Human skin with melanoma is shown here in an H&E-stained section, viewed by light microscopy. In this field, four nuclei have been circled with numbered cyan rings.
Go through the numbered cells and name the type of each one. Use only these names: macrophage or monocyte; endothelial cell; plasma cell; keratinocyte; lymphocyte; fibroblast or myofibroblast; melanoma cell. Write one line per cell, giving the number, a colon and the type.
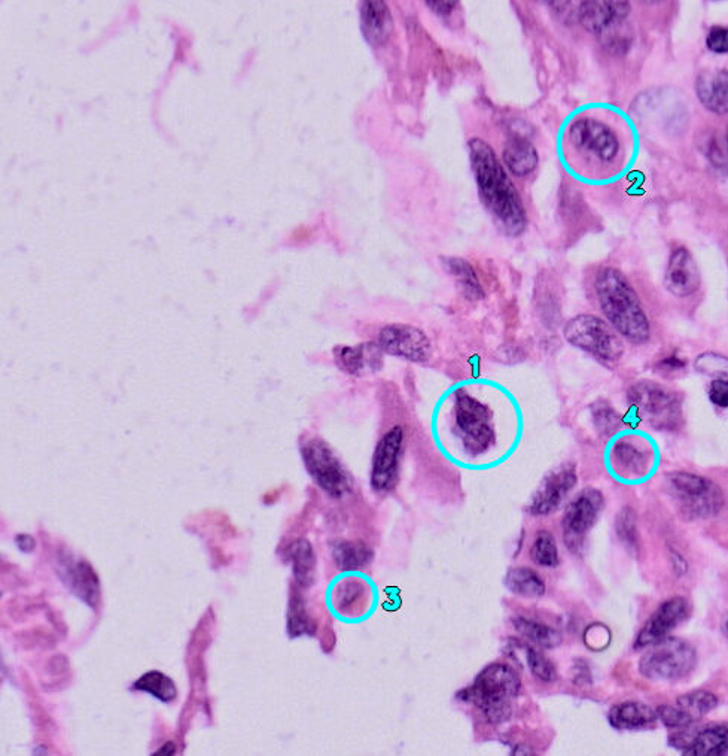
1: melanoma cell
2: melanoma cell
3: macrophage or monocyte
4: melanoma cell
